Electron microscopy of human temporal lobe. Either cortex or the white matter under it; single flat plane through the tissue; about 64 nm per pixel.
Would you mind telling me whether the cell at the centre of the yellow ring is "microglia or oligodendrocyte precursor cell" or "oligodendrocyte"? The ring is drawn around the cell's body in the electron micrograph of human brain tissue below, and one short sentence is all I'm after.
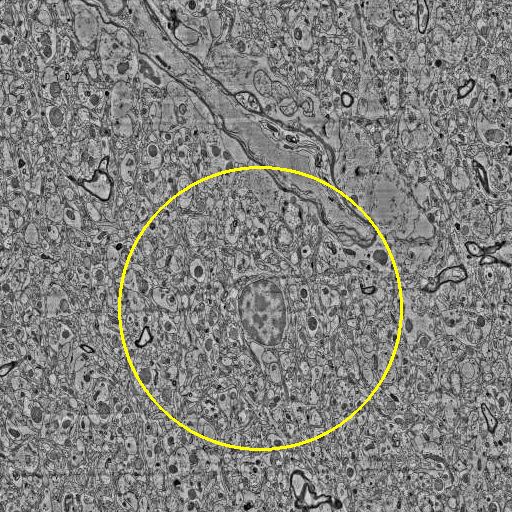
In the centre of the ring lies a microglial cell or oligodendrocyte precursor cell.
